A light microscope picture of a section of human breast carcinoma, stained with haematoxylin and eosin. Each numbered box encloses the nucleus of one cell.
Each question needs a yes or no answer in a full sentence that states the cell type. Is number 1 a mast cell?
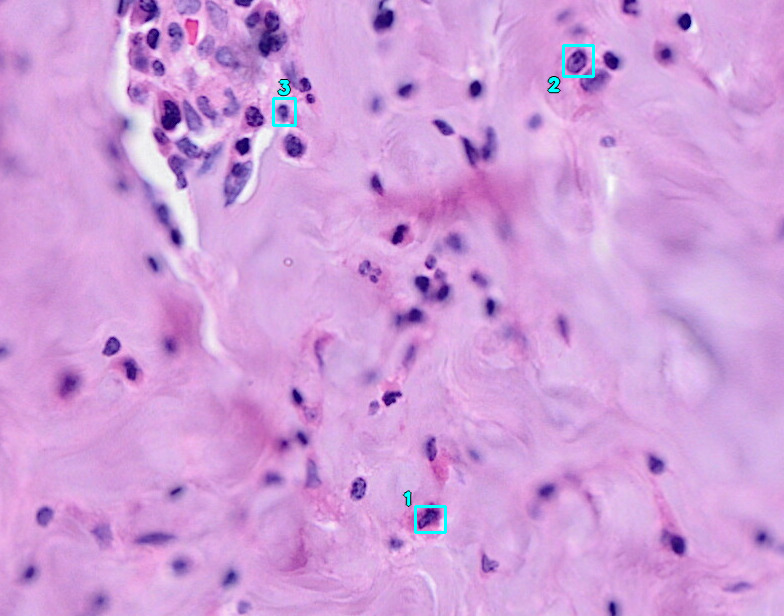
Yes, what number 1 marks is a mast cell.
